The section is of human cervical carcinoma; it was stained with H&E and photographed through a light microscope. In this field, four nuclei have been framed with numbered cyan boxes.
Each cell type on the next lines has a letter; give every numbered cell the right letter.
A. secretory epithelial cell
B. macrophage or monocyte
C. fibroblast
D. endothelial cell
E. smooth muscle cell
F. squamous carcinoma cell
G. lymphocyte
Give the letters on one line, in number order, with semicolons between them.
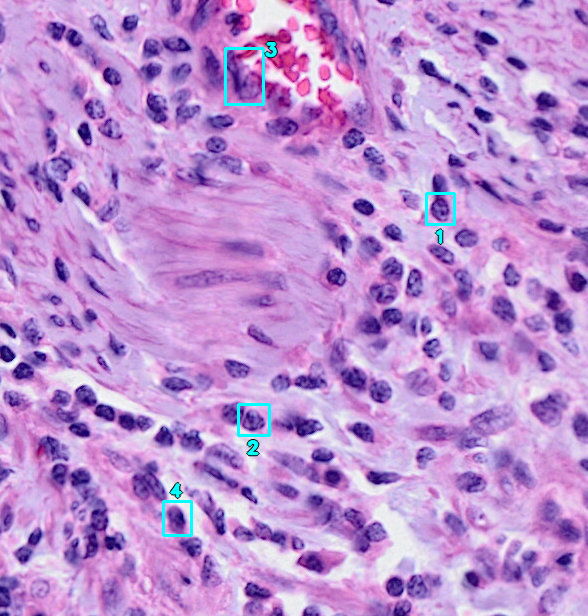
G; G; D; G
